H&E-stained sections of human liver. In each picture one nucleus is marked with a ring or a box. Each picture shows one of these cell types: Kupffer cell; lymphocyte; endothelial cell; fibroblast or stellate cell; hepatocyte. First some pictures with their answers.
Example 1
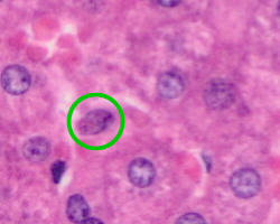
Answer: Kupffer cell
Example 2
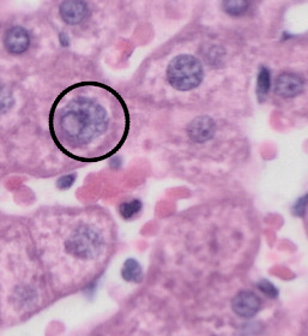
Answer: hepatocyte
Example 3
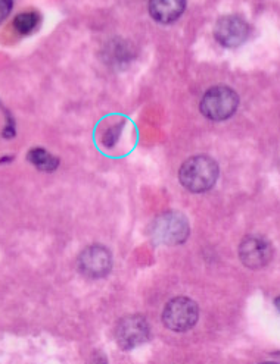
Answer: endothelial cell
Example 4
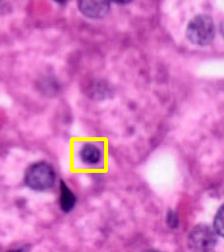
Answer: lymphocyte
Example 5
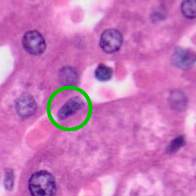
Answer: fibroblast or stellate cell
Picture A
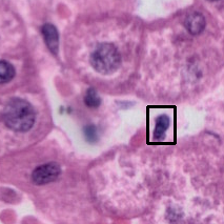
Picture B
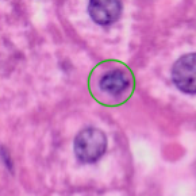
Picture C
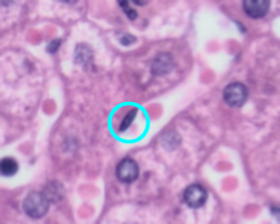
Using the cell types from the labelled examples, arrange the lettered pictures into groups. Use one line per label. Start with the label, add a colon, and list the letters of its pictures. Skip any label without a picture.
lymphocyte: A
endothelial cell: C
fibroblast or stellate cell: B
